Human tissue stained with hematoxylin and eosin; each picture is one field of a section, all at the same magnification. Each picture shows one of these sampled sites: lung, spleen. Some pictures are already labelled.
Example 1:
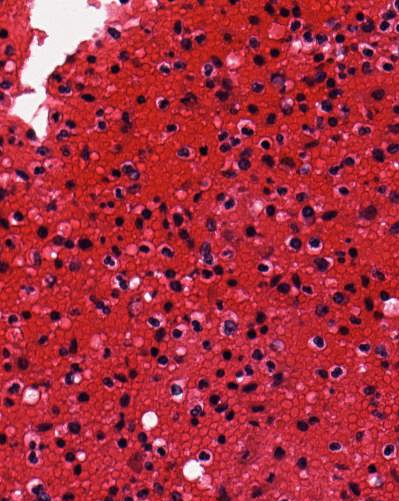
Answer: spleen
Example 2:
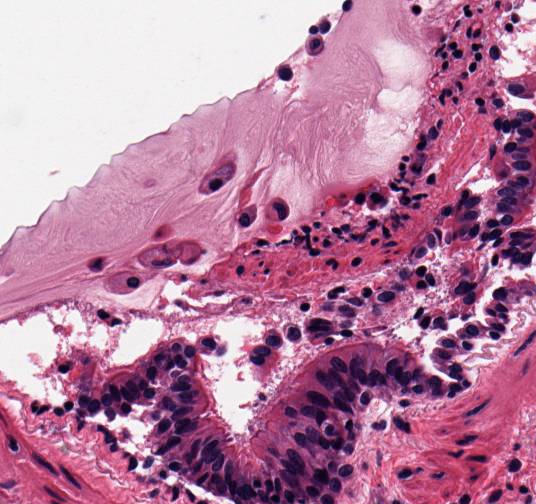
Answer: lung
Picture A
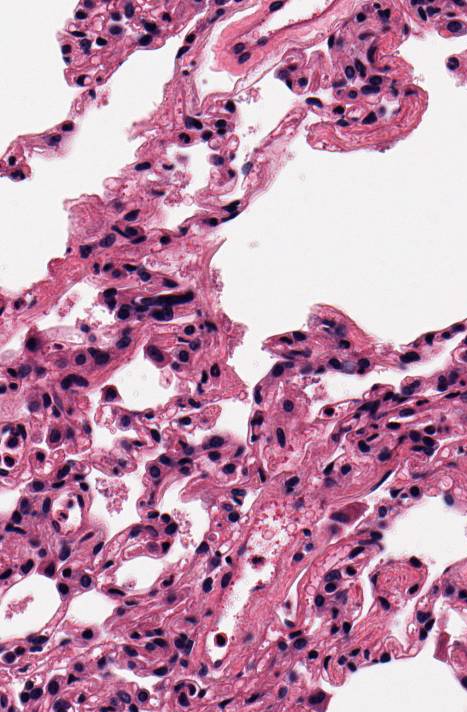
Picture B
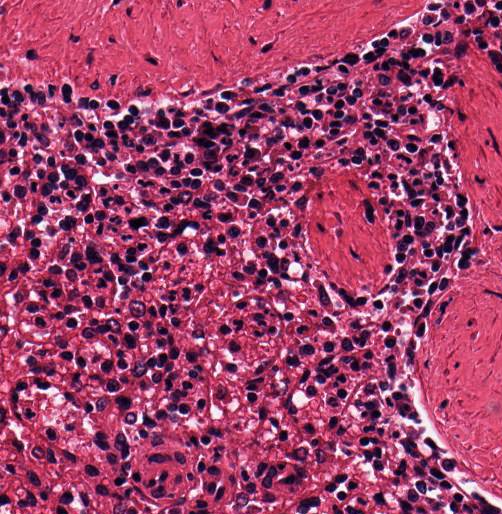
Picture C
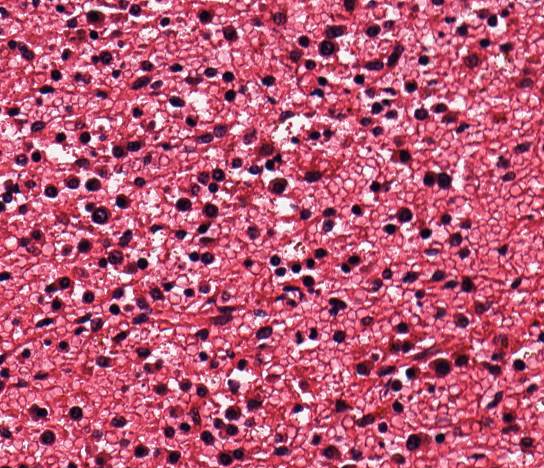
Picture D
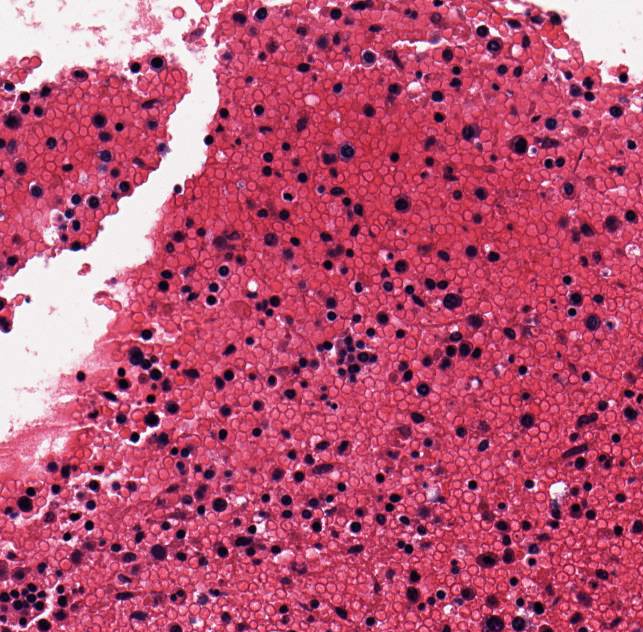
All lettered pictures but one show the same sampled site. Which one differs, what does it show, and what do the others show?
Picture A: lung. All others: spleen.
